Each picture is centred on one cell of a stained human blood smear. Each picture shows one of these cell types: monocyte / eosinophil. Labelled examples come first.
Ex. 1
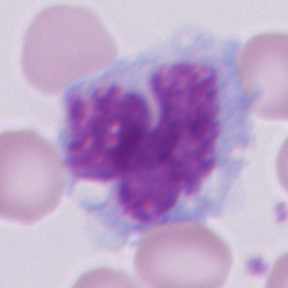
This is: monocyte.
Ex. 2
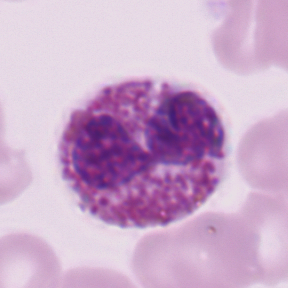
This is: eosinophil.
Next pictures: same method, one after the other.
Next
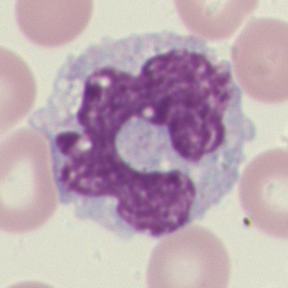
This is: monocyte.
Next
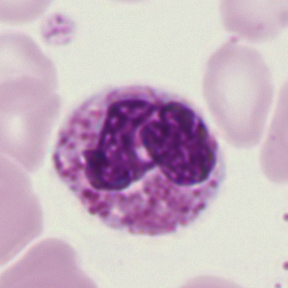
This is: eosinophil.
